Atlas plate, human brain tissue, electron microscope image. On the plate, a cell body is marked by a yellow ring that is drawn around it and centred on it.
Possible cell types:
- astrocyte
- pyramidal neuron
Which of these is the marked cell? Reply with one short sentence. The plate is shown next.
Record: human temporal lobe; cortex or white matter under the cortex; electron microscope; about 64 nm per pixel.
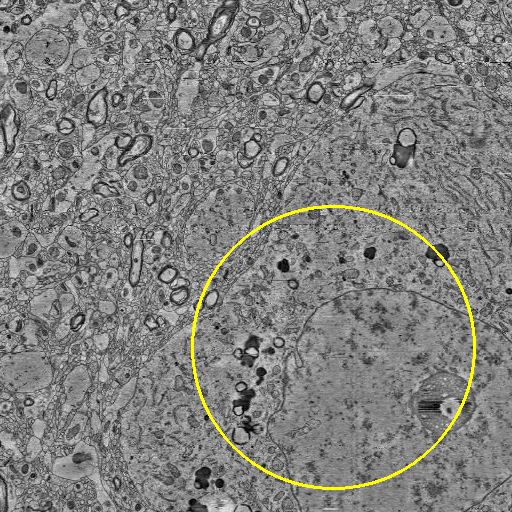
The marked cell is a pyramidal neuron.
